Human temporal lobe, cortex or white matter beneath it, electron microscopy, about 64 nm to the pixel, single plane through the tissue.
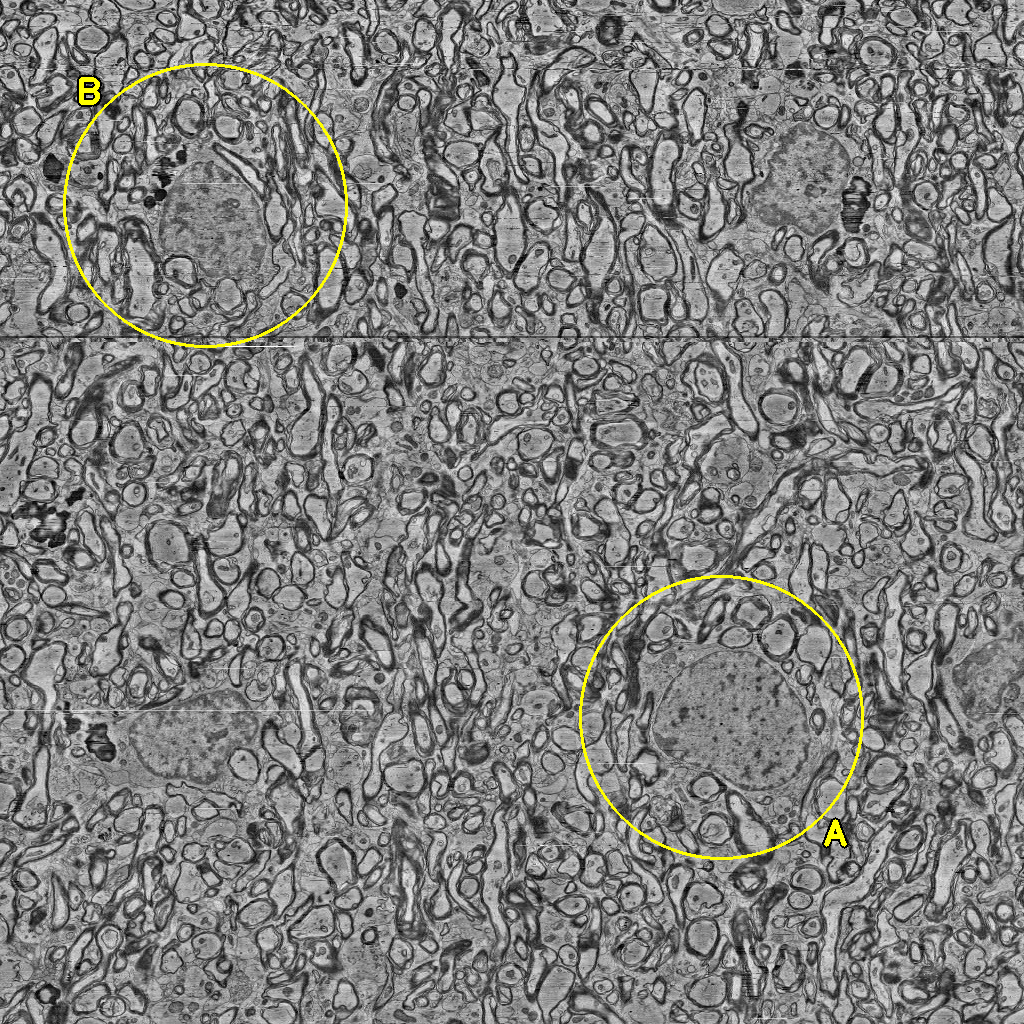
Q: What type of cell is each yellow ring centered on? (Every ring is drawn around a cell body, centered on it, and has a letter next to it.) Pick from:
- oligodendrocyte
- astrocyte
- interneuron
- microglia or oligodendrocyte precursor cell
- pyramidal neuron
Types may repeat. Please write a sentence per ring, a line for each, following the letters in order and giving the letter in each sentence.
The cell body centered in ring A belongs to a microglial cell or oligodendrocyte precursor cell.
The cell body centered in ring B belongs to an oligodendrocyte.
